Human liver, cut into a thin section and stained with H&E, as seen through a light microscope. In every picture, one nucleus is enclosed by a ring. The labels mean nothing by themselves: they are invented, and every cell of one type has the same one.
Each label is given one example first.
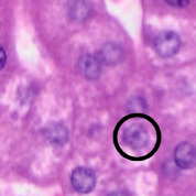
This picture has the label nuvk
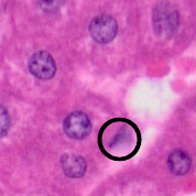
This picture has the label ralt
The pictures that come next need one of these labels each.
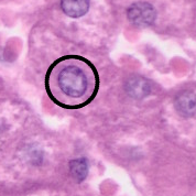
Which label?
nuvk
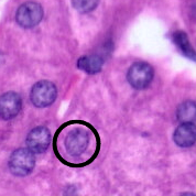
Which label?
nuvk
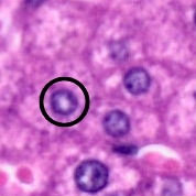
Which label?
nuvk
